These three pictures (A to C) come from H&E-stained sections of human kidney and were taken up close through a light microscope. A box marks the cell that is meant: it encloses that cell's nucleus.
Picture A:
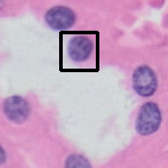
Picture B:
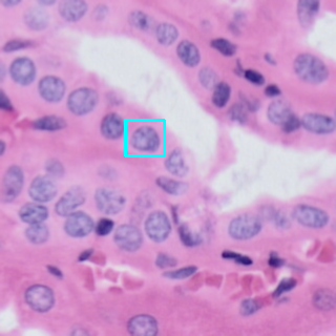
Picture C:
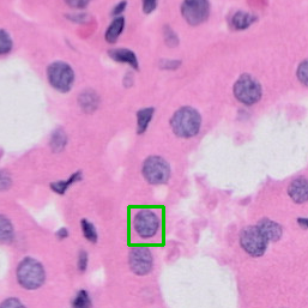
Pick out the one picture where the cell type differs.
B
